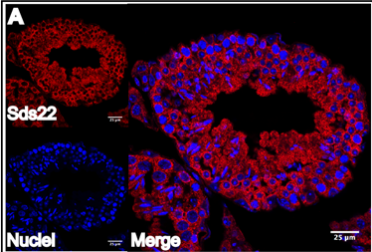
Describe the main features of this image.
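Round cross-sectioned tubules of the testis are packed with many layers of germ cells around a dark central lumen. Red fills the cytoplasm of cells in nearly every layer, from the outer edge of the tubule to the lumen, while the blue round nuclei sit within red rims. The staining is spread through most of the germ cell population rather than being confined to one zone.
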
